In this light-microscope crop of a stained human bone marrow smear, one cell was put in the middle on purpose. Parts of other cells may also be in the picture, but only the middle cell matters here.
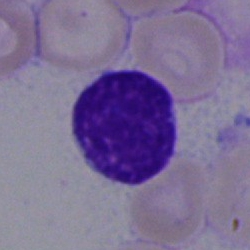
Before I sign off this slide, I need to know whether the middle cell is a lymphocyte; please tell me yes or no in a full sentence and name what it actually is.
Yes, this is a lymphocyte, the cell in the middle of the crop.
